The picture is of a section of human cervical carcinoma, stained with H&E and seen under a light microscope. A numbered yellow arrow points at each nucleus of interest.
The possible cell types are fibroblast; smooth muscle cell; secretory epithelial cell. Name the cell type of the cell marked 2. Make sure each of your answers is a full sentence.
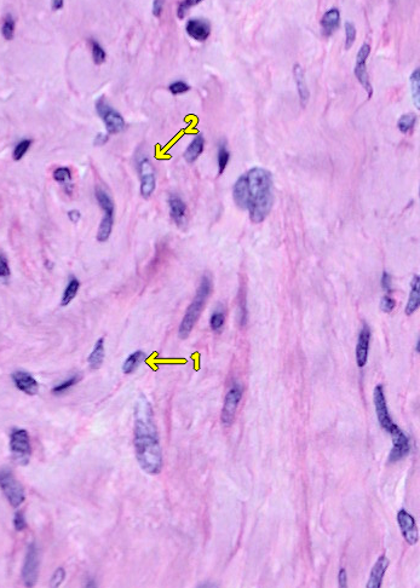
Corresponding to a smooth muscle cell is the cell labelled 2.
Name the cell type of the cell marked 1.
Identified by the number 1, the cell is a fibroblast.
